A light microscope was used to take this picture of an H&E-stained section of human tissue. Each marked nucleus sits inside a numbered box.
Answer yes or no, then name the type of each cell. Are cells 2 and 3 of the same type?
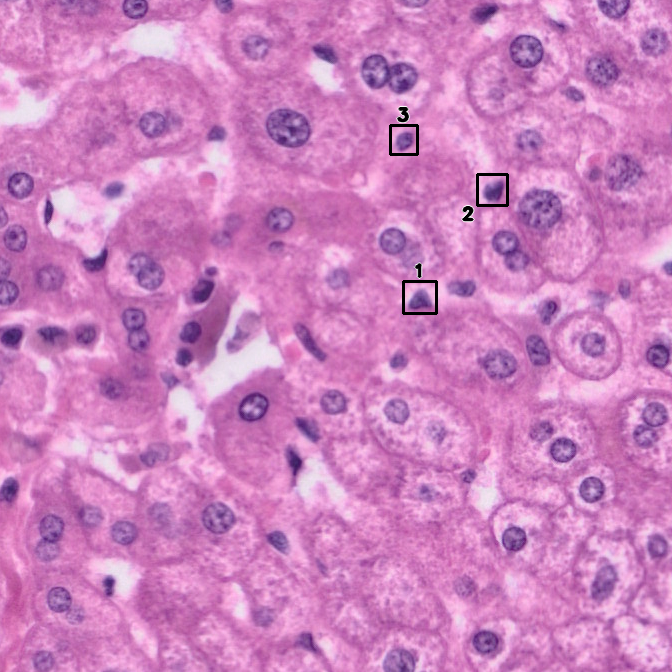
No, cell 2 is classed as an endothelial cell and cell 3 as a lymphocyte.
